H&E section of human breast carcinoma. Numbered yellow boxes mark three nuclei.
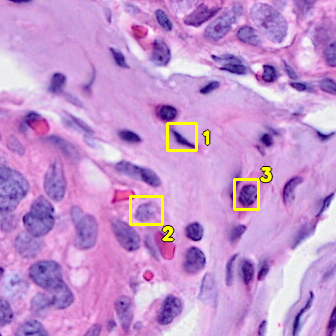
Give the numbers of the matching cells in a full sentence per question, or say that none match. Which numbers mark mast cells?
Cell 3 is a mast cell and is the only numbered cell of that kind.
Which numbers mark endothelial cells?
Cell 2 represents an endothelial cell, and no other numbered cell does.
